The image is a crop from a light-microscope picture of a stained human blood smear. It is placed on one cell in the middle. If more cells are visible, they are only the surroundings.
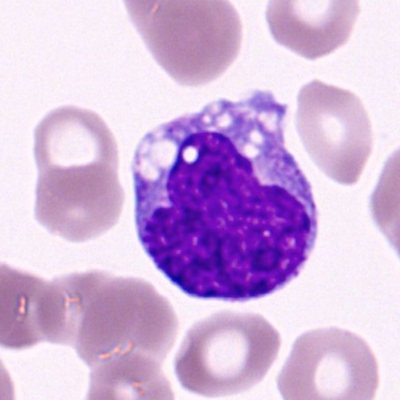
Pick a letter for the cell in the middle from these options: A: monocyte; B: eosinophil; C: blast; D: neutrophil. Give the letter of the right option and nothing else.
A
